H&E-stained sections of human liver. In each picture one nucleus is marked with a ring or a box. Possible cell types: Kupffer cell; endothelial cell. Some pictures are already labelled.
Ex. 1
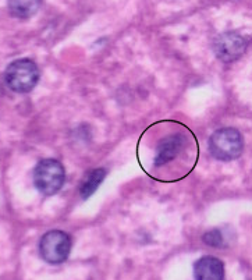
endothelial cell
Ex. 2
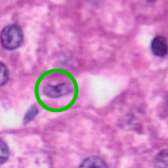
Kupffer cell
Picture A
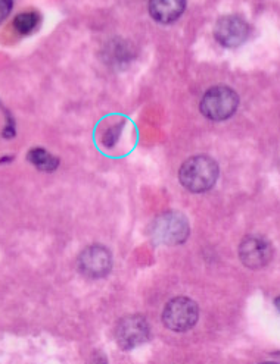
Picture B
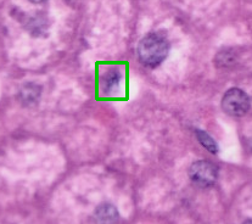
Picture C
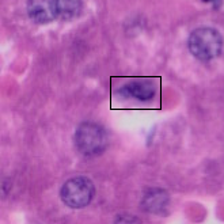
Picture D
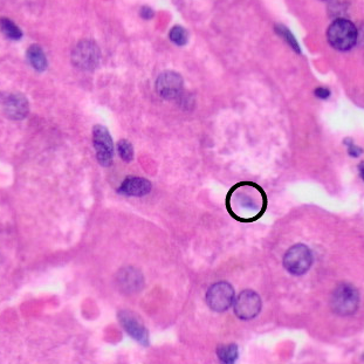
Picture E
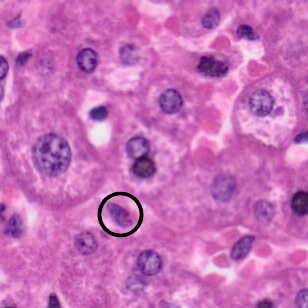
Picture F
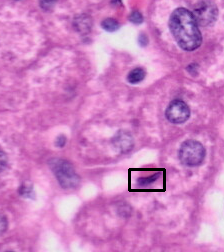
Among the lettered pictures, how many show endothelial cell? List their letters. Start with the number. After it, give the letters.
4, namely A, B, D, F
